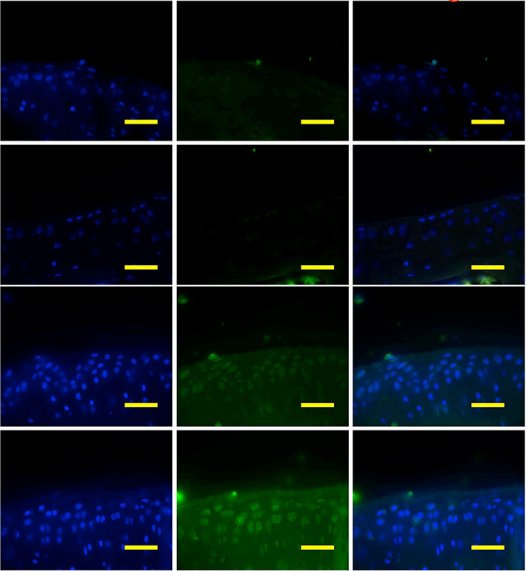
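A grid of fluorescence images of a cartilage layer. Each shows chondrocytes whose small, rounded blue nuclei are scattered singly or in small clusters through a matrix band beneath a smooth free surface. In the upper rows the green channel is nearly dark, while in the lower rows green fills the rounded cell bodies around the nuclei, most strongly in the bottom row.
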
